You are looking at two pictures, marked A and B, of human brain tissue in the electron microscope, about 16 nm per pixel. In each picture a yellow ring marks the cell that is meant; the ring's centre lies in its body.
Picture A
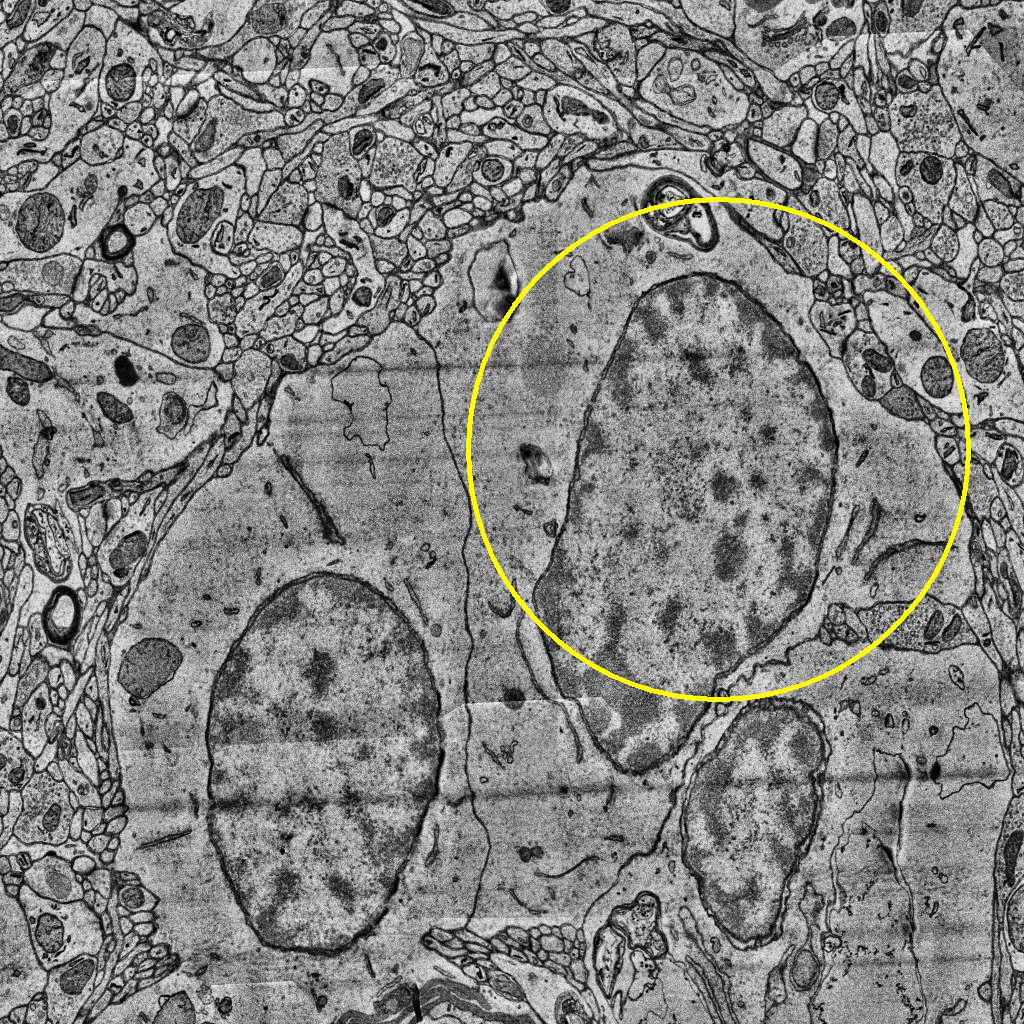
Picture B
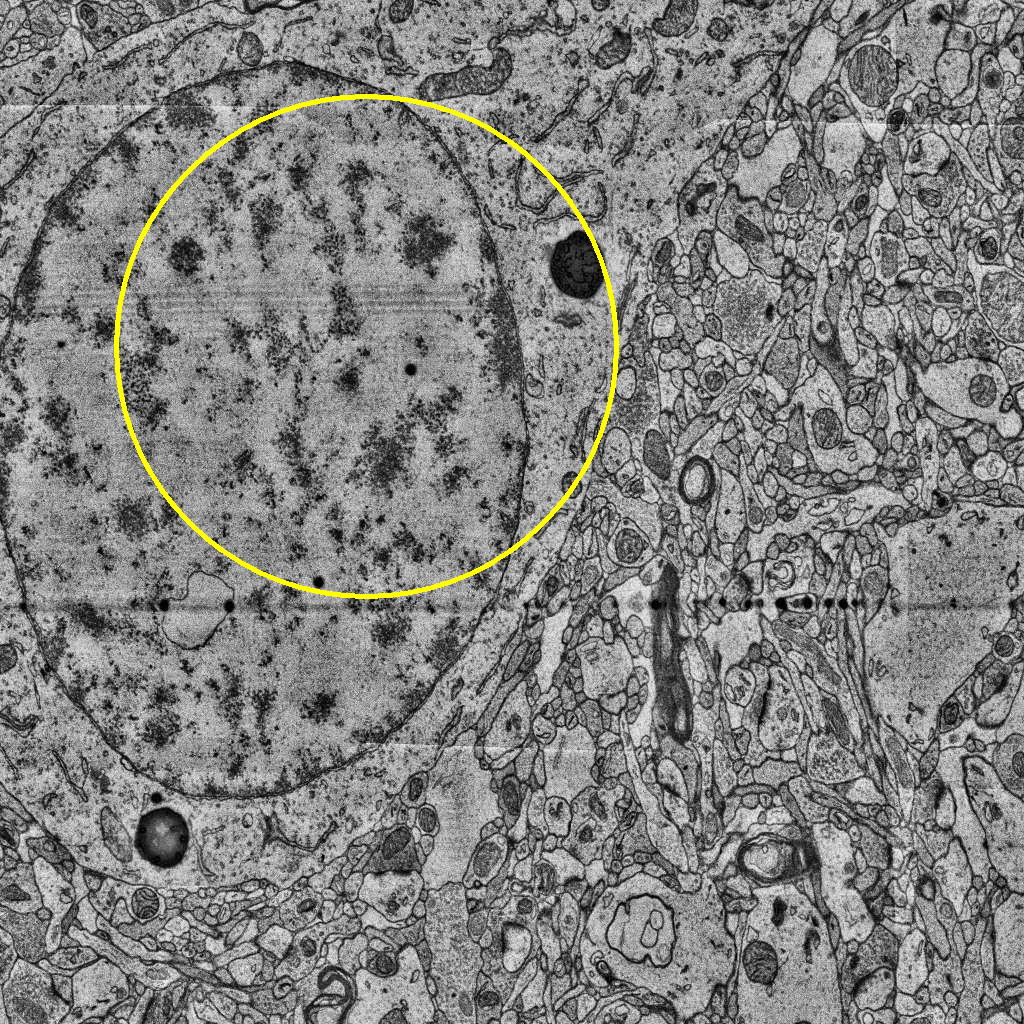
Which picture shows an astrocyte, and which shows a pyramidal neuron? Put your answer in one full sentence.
Picture A shows an astrocyte and picture B shows a pyramidal neuron.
